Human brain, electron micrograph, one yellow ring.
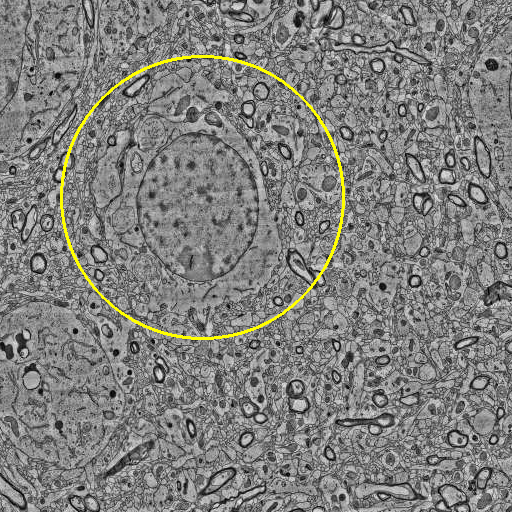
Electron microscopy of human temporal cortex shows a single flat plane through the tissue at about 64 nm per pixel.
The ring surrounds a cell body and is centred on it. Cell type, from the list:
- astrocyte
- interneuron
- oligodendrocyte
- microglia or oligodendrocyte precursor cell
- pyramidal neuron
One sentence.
The yellow ring circles an astrocyte.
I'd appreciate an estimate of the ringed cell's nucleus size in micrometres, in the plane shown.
In this plane the nucleus is about 9 micrometres by 8.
